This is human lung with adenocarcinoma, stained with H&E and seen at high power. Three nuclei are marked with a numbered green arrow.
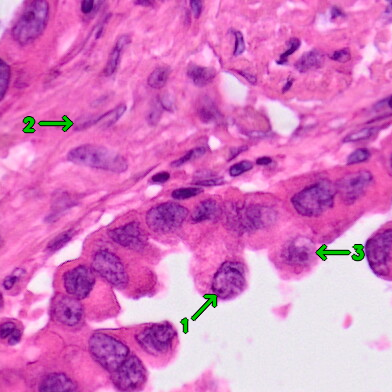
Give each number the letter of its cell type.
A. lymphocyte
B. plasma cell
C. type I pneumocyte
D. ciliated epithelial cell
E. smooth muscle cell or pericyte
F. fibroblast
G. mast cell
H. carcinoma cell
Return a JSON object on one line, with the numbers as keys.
{"1": "H", "2": "F", "3": "H"}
